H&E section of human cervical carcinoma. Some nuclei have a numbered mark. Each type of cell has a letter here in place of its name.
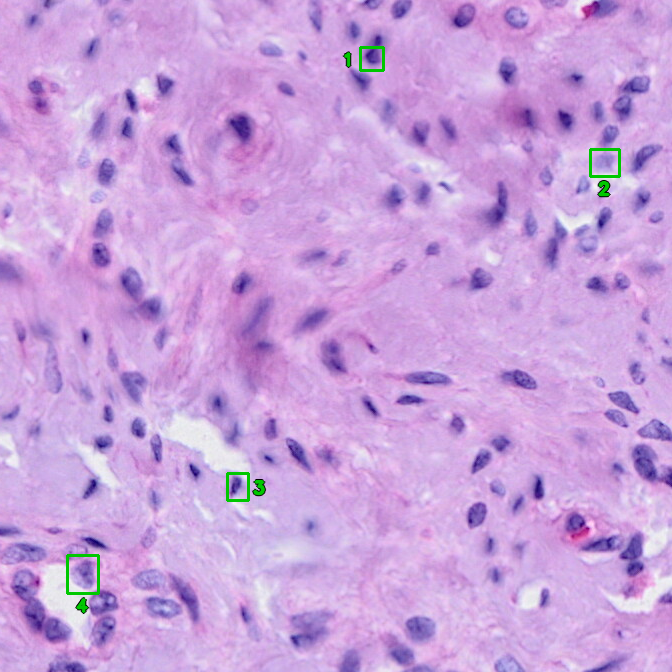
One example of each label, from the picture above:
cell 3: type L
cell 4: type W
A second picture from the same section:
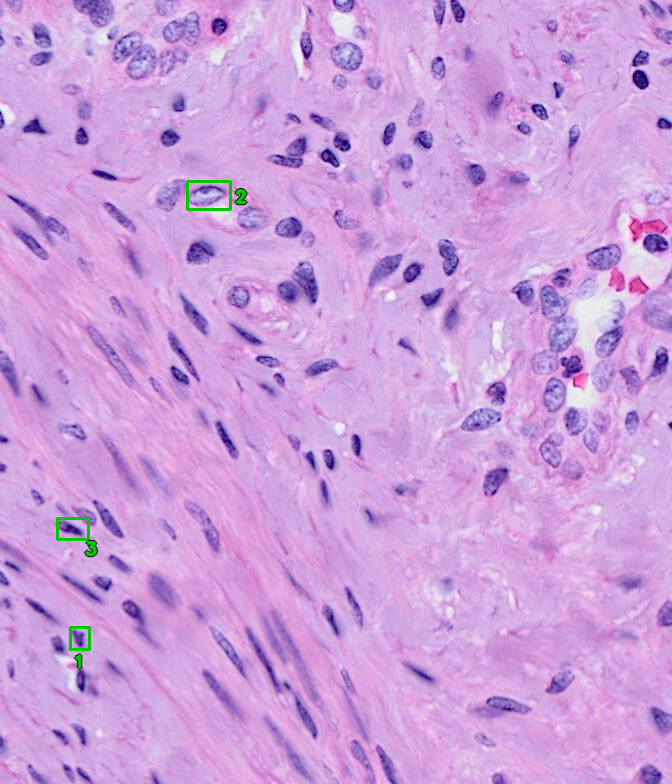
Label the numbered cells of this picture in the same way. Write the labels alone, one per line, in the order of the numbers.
type L
type W
type L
